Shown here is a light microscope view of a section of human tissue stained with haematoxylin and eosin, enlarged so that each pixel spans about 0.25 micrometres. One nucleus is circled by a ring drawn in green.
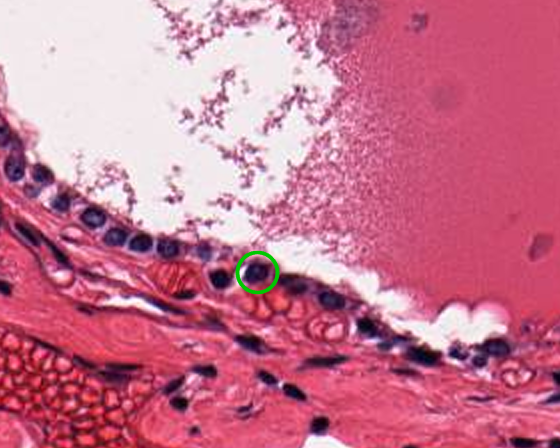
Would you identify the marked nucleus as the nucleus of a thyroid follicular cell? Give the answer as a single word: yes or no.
yes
